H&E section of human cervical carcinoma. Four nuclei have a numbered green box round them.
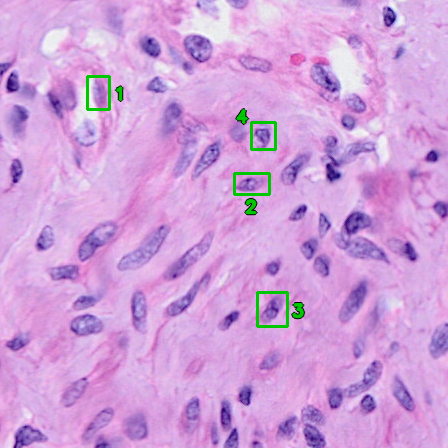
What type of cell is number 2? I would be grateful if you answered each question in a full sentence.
Cell number 2 in this section is a smooth muscle cell.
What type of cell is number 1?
The cell marked with number 1 is an endothelial cell.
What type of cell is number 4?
The expected answer is that cell 4 is a smooth muscle cell.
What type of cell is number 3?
Cell 3 should be recorded as a smooth muscle cell.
